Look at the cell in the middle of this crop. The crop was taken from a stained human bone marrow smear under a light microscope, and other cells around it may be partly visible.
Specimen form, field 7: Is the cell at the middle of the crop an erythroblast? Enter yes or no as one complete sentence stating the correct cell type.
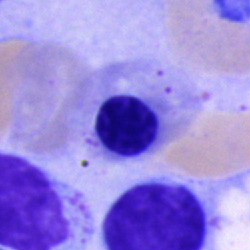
Yes, it is an erythroblast that is seen at the centre of the crop.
